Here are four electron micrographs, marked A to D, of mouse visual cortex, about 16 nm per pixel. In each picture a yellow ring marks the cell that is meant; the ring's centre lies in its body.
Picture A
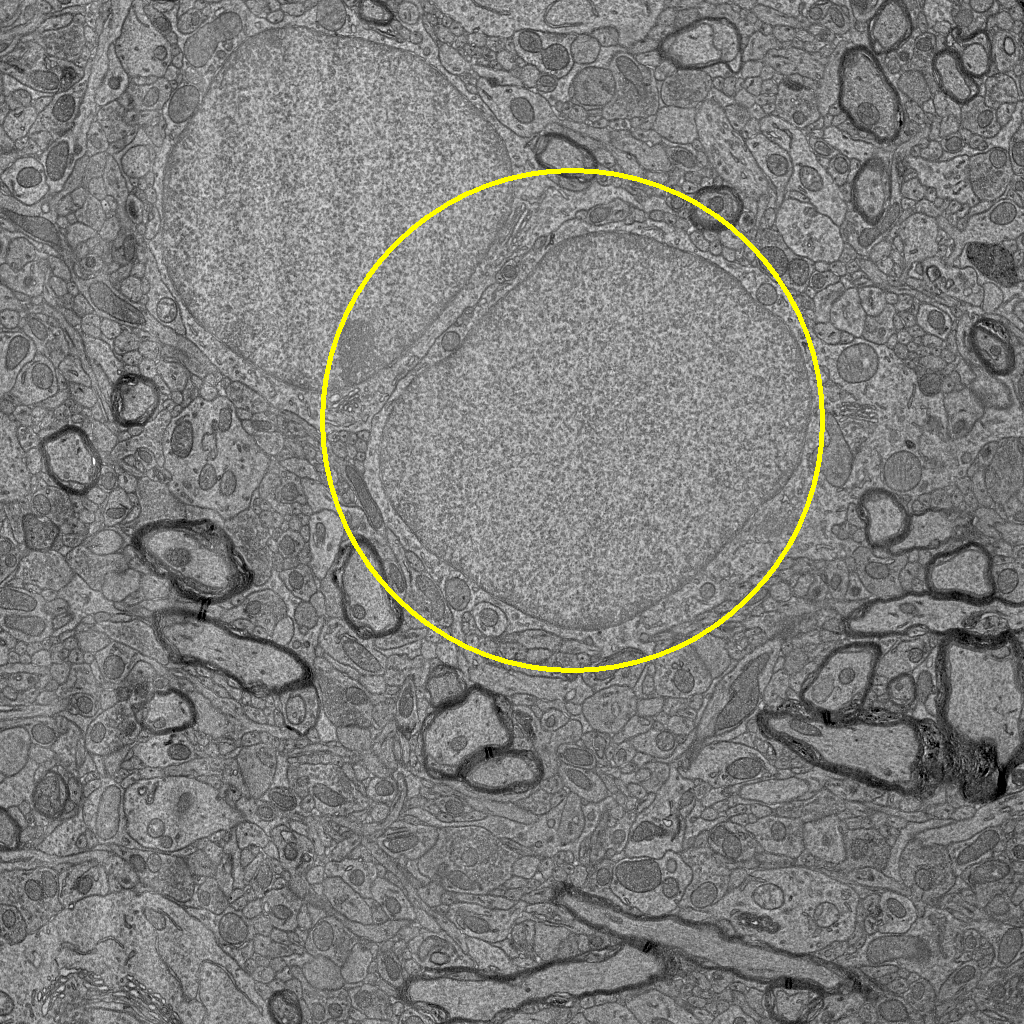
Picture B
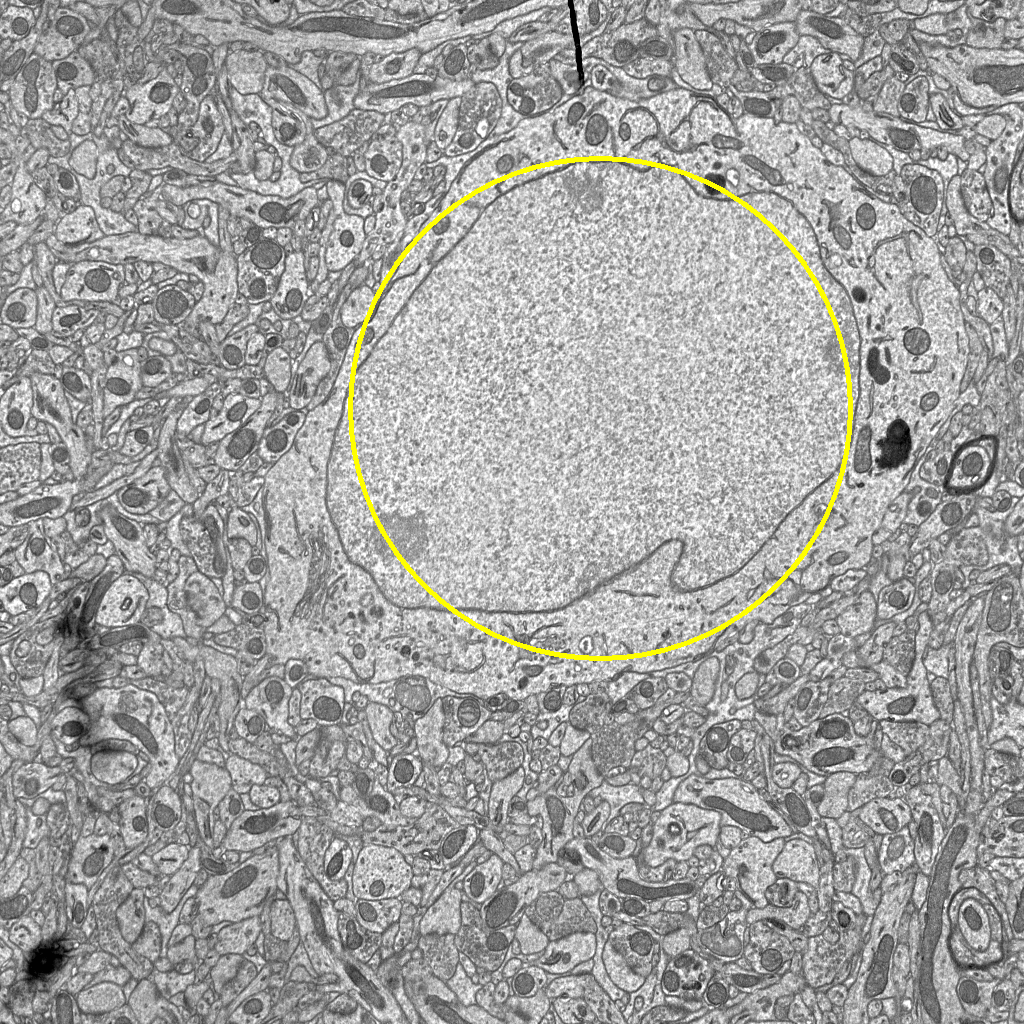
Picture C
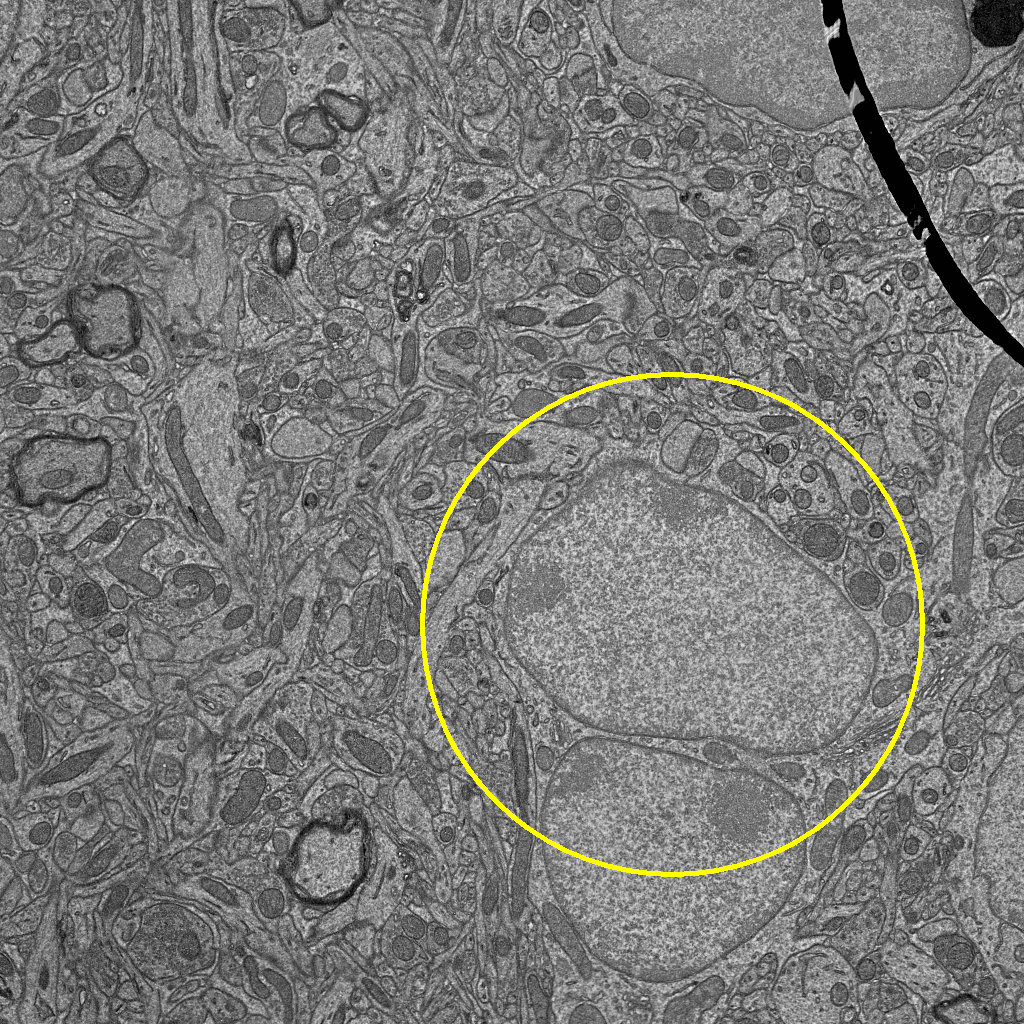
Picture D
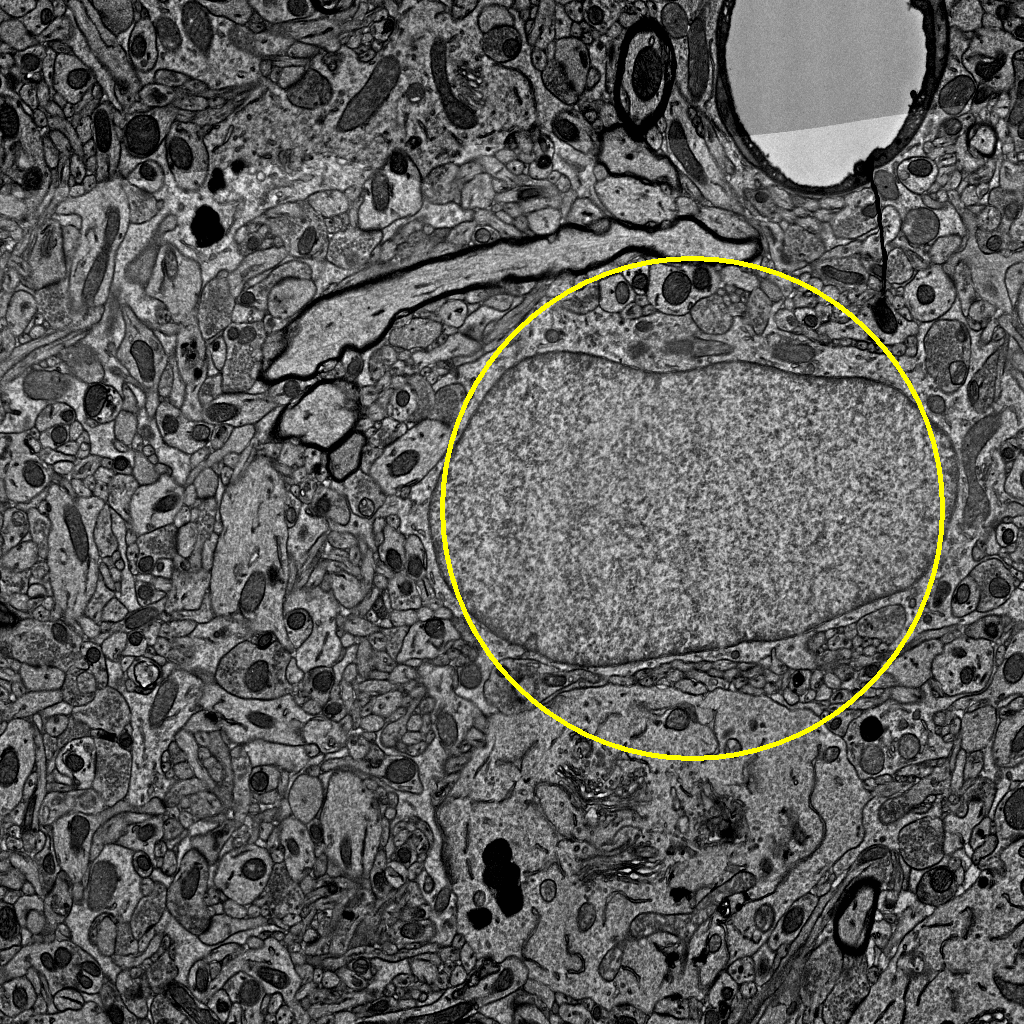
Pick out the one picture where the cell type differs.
The others show astrocytes, but picture B shows an excitatory neuron.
